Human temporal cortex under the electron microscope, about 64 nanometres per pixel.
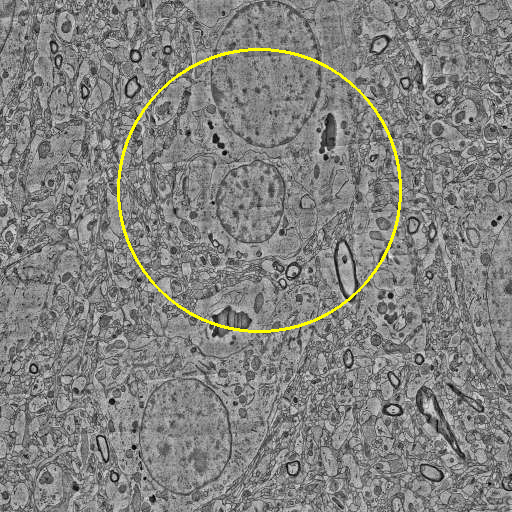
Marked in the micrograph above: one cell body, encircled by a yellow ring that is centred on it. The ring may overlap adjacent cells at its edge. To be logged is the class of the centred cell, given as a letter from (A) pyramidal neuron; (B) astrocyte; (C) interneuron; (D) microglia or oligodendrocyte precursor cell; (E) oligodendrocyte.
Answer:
B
